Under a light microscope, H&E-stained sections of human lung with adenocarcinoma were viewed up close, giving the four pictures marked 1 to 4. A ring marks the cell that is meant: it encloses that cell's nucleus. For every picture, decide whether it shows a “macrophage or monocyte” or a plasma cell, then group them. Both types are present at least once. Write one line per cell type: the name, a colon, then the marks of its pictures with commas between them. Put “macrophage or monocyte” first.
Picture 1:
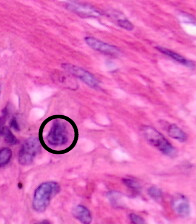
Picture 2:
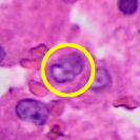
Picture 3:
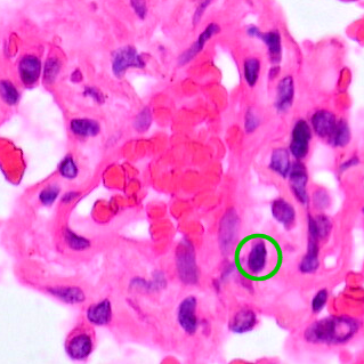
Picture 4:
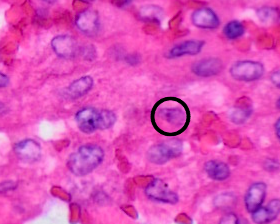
macrophage or monocyte: 2, 4
plasma cell: 1, 3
